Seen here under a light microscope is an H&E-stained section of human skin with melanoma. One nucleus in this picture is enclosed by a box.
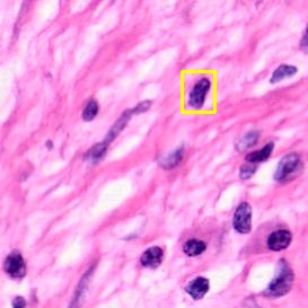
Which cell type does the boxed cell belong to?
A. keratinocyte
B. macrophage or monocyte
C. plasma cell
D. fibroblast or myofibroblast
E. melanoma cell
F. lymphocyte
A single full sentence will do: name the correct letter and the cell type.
Option F correctly labels the boxed cell as a lymphocyte.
